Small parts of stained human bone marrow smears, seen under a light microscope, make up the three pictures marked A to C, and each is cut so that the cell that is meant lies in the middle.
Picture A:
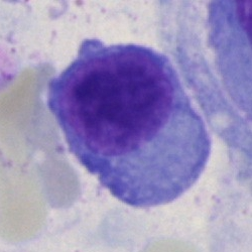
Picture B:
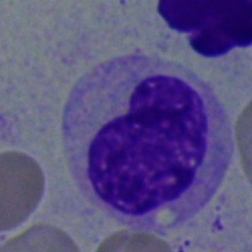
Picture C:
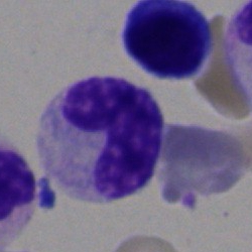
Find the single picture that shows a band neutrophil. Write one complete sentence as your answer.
It is picture C that shows the band neutrophil.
